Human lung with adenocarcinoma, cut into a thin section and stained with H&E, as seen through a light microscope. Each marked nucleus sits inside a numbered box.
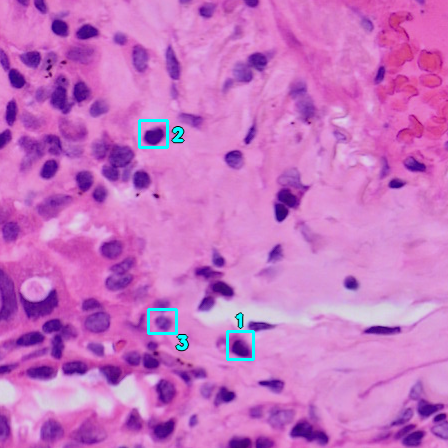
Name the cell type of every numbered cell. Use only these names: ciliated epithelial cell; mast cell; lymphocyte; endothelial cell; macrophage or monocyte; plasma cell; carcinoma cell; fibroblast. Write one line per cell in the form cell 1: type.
cell 1: plasma cell
cell 2: lymphocyte
cell 3: lymphocyte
